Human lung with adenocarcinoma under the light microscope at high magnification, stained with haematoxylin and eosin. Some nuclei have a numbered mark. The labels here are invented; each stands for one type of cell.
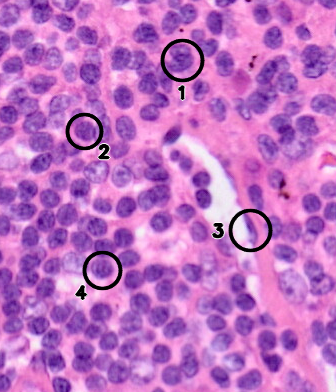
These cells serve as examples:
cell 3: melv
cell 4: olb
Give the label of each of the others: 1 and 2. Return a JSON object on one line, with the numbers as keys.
{"1": "olb", "2": "olb"}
